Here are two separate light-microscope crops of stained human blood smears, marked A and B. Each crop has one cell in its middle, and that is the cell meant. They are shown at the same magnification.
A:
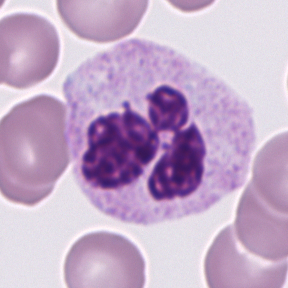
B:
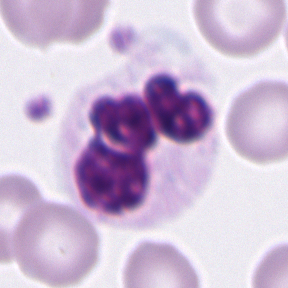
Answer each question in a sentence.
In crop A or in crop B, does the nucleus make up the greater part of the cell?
In crop B the nucleus takes up the larger part of its cell.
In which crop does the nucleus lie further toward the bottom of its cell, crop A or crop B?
It is the nucleus in crop A that lies further toward the bottom of its cell.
